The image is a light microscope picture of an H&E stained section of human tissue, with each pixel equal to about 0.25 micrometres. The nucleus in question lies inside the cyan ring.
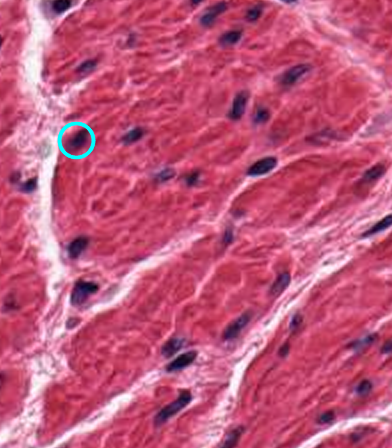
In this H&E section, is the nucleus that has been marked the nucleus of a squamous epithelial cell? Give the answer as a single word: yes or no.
no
